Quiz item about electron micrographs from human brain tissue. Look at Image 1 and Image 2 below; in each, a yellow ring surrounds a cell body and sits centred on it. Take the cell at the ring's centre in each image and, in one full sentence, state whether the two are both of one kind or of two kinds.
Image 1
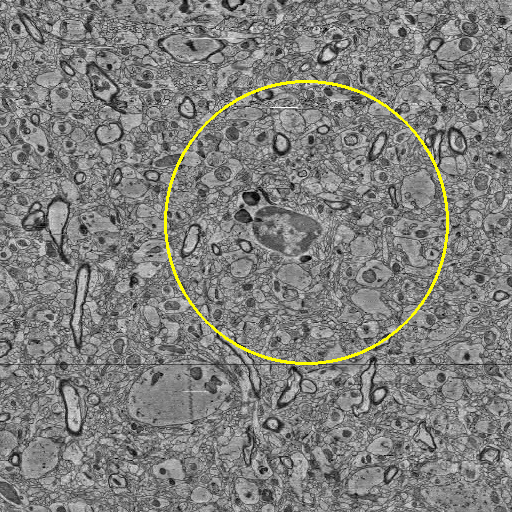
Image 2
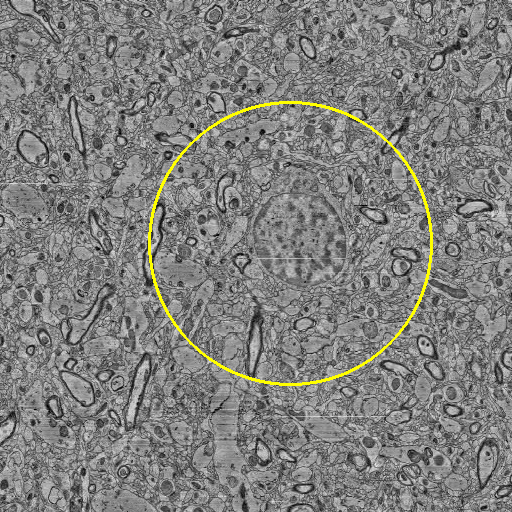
In Image 1 and Image 2, the cells at the ring centres are of two kinds.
